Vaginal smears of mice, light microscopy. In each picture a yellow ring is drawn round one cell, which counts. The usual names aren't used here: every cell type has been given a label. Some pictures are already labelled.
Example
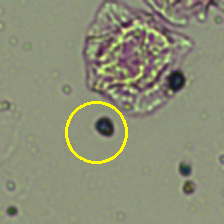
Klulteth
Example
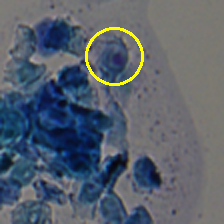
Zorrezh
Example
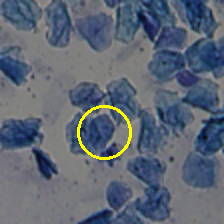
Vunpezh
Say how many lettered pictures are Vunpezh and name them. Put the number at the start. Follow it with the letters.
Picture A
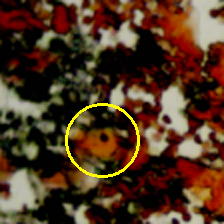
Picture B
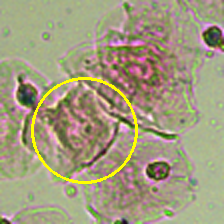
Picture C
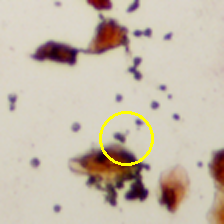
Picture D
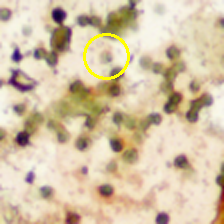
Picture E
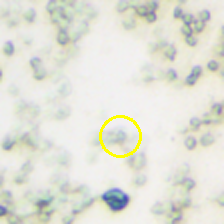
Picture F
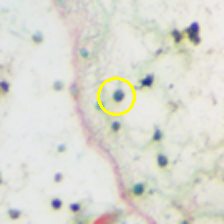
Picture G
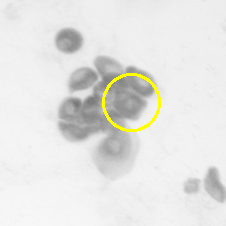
Count: 1 (B)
